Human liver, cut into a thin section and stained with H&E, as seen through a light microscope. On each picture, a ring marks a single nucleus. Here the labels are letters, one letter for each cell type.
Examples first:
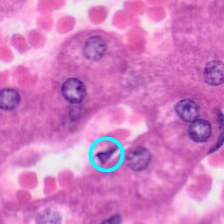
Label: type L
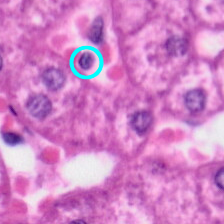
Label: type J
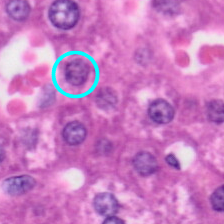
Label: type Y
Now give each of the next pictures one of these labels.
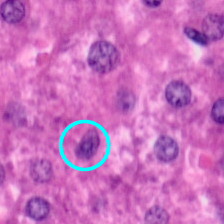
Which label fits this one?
type L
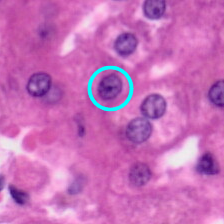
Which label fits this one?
type Y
